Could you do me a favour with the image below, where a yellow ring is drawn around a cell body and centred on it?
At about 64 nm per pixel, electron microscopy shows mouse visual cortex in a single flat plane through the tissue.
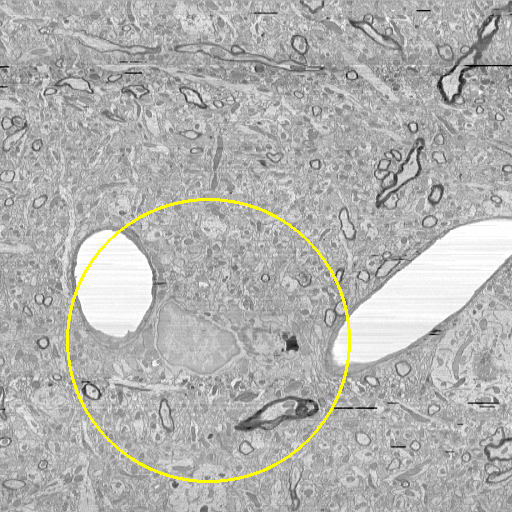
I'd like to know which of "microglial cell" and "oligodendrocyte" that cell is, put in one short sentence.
The cell at the ring's centre is a microglial cell.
